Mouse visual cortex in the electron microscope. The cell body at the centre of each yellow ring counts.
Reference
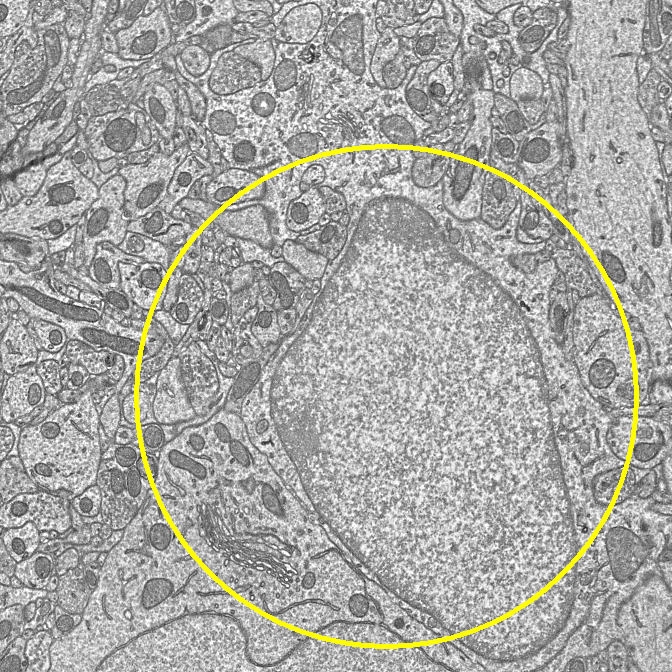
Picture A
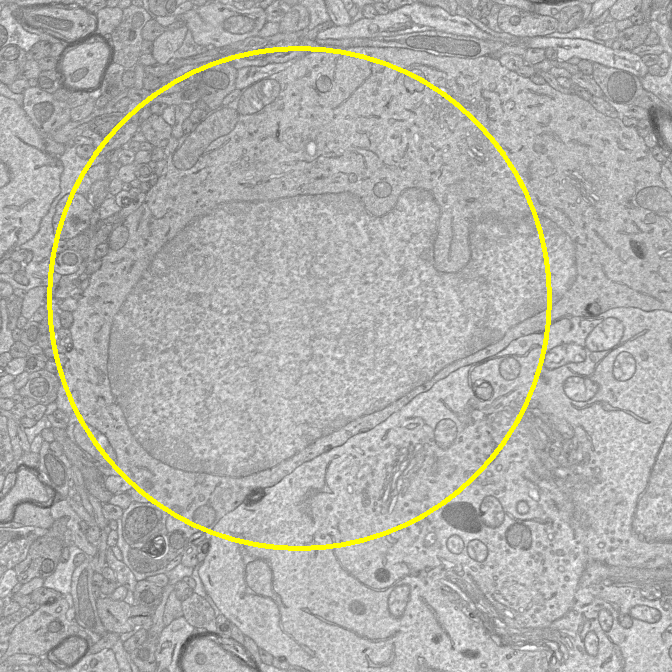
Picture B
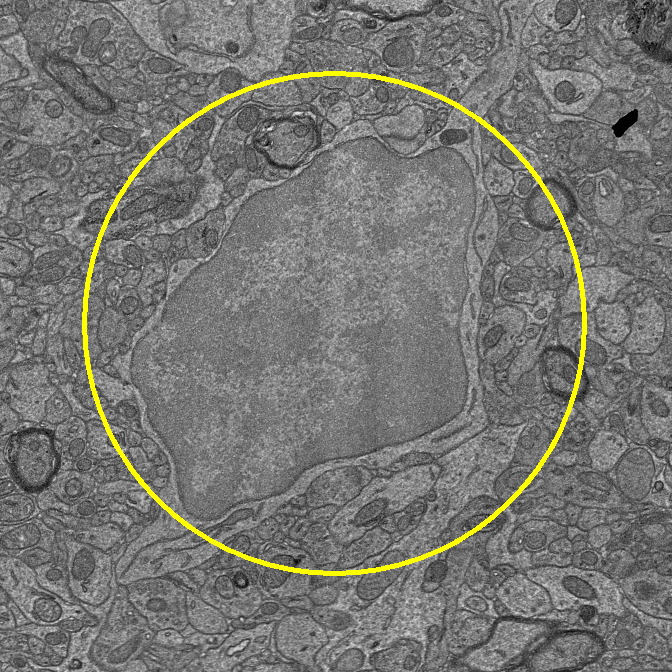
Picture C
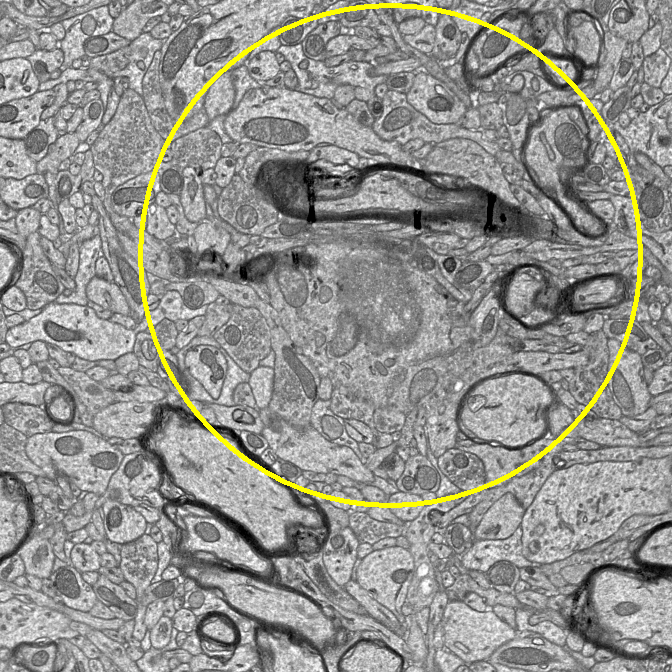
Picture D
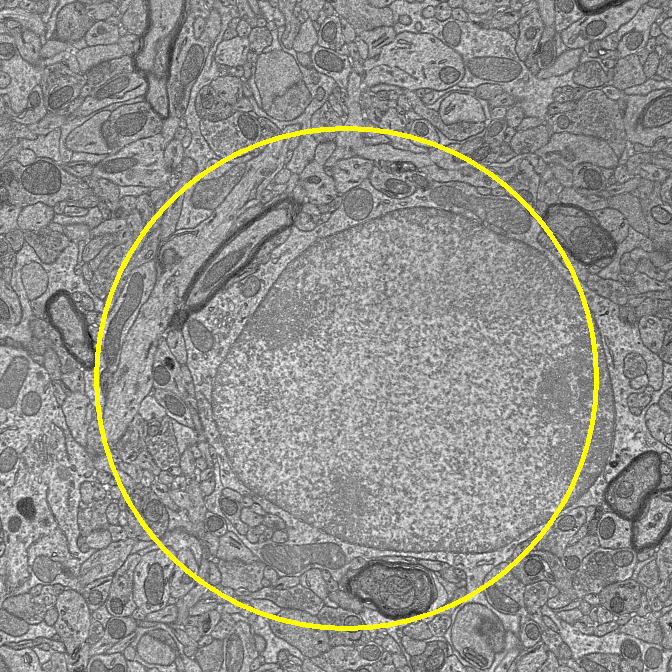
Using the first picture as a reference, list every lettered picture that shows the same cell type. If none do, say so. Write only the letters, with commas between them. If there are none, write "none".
D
